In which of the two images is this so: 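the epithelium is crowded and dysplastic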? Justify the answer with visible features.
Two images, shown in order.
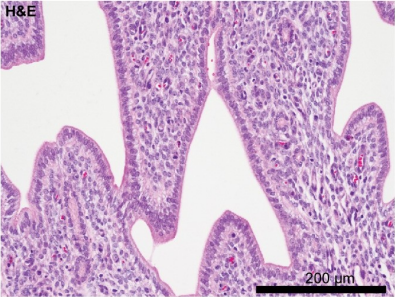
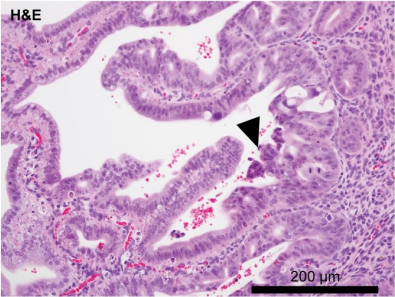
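Second image: epithelium is multilayered with crowded, enlarged nuclei and glands packed closely. First image: epithelium is a single orderly layer of columnar cells over stroma.
The second image.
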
